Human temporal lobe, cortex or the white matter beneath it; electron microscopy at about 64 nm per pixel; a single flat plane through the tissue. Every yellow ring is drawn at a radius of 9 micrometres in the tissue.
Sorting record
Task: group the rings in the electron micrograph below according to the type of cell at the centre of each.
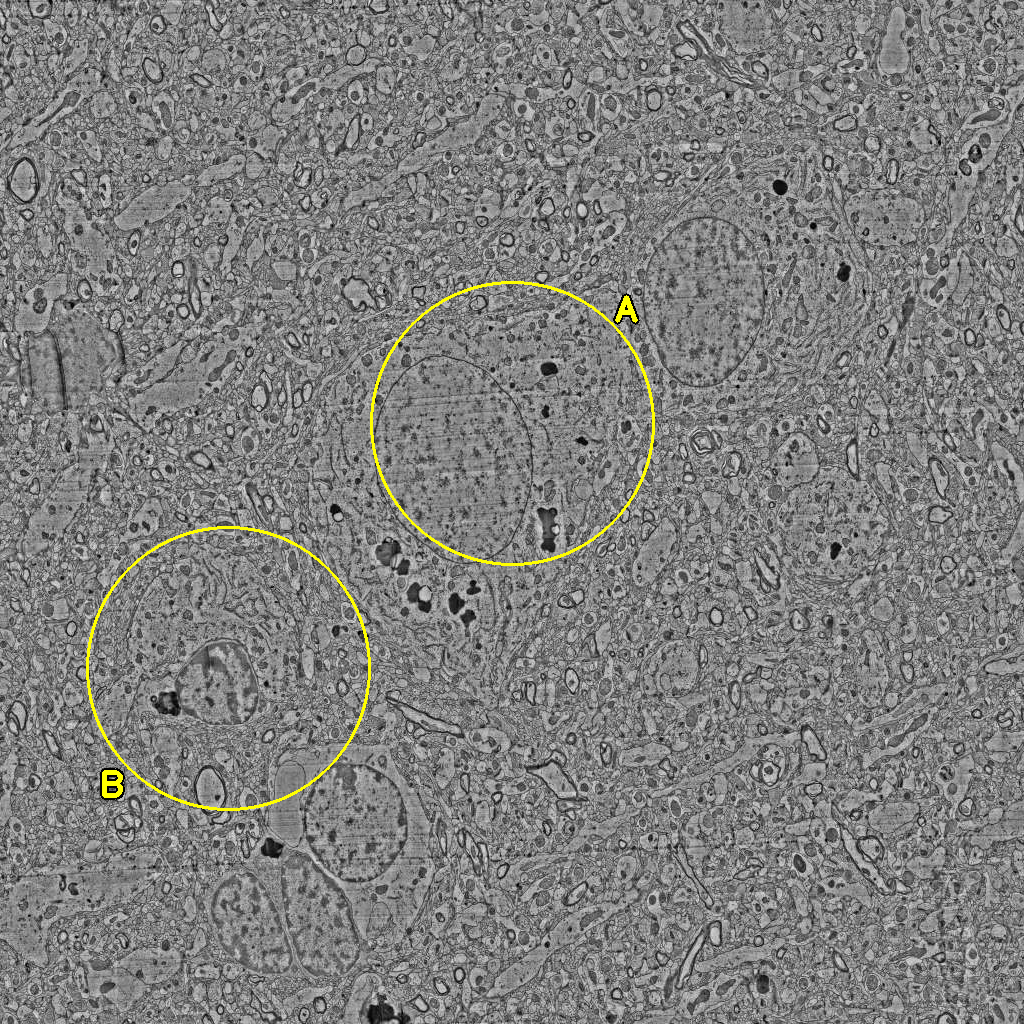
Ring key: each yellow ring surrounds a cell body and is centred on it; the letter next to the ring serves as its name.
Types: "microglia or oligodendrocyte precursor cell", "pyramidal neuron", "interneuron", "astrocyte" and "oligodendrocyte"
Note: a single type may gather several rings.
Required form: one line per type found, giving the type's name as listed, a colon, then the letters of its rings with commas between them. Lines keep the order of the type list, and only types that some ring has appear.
microglia or oligodendrocyte precursor cell: B
pyramidal neuron: A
